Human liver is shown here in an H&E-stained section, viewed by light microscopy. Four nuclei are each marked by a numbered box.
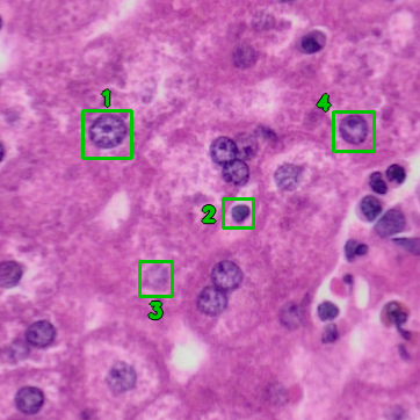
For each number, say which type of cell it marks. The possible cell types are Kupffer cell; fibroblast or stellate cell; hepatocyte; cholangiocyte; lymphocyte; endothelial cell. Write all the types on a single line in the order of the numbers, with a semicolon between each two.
hepatocyte; lymphocyte; hepatocyte; hepatocyte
